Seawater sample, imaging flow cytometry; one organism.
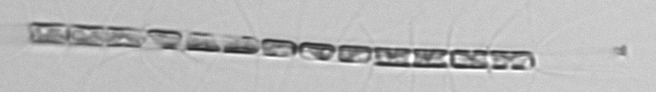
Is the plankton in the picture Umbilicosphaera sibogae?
No, it is Chaetoceros.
